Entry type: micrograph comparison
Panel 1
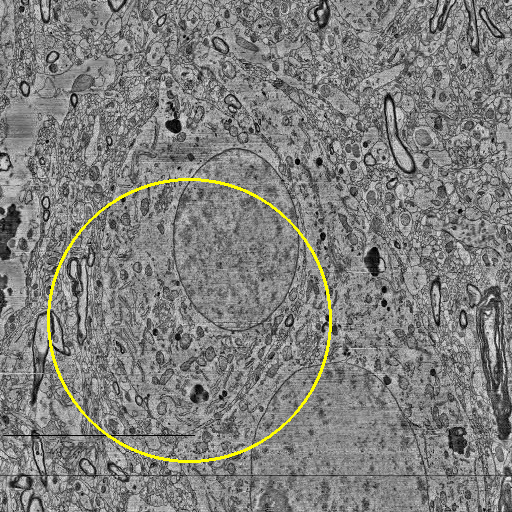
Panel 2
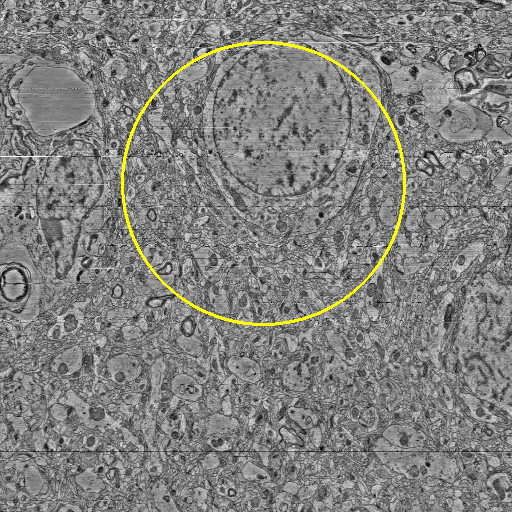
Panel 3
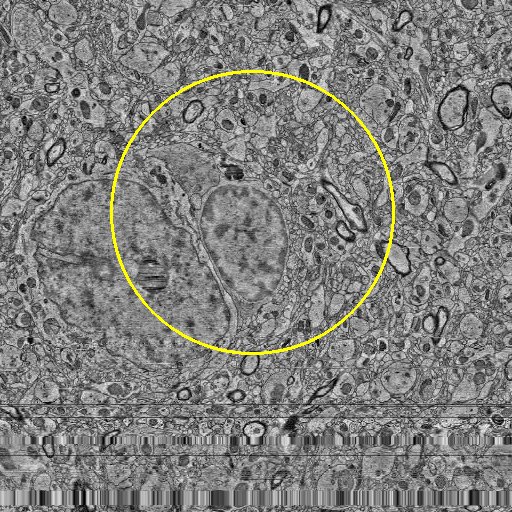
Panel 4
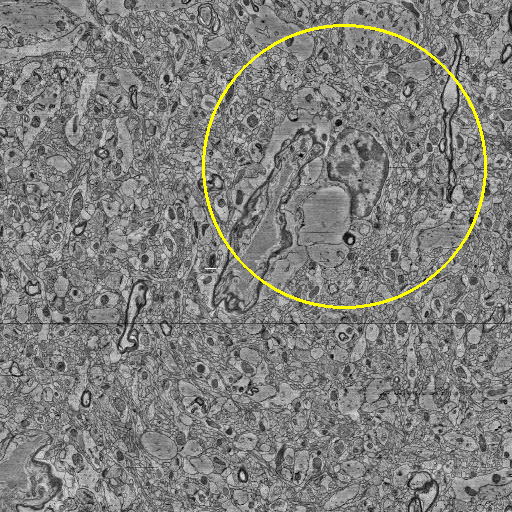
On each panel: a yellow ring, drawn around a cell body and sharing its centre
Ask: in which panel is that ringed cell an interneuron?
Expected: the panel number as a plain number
1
